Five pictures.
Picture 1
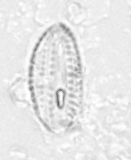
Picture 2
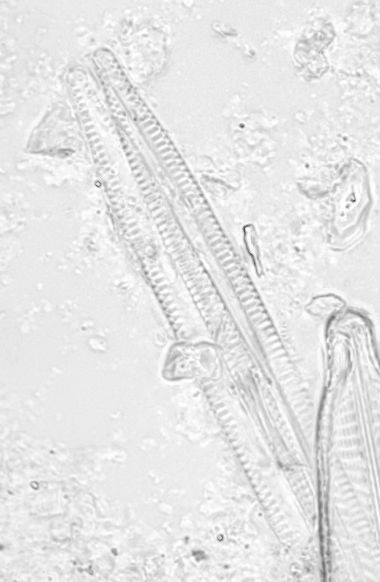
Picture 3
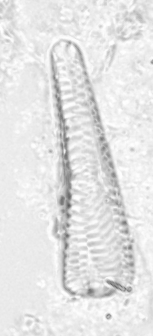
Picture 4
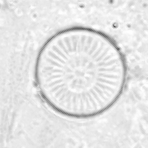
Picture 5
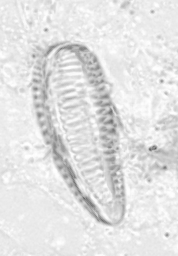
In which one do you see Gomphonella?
In picture 3.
